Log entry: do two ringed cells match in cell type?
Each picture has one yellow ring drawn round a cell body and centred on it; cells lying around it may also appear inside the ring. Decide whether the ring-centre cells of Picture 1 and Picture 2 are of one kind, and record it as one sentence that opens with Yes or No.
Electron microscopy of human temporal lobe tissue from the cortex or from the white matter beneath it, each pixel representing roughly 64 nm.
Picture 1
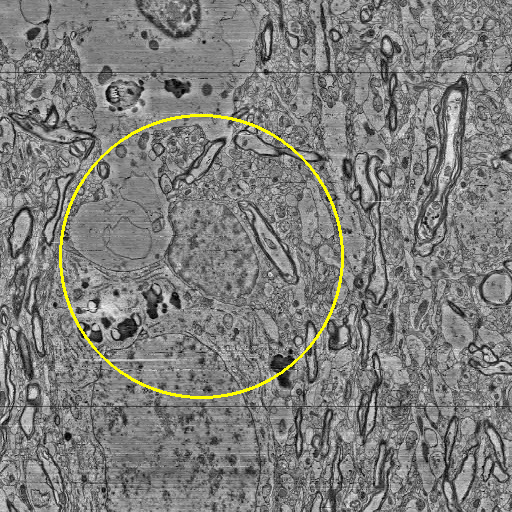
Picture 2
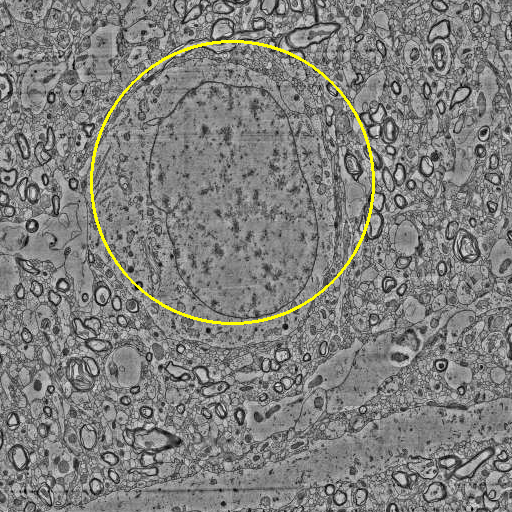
No, the cells at the ring centres of the two pictures belong to two kinds.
